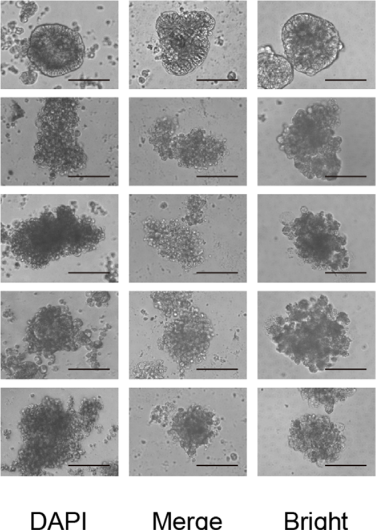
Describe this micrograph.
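The spheroids in the top row are compact and rounded, with smooth, well-defined outer borders and dense interiors. Most spheroids in the lower rows are irregular in outline and loosely packed. Their borders are ragged, and many small round single cells and debris lie scattered around them.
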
